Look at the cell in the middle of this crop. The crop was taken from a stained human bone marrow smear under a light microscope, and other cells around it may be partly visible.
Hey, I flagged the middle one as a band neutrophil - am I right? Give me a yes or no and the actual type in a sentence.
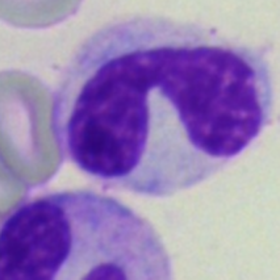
No, what is centred in the crop is not a band neutrophil but a segmented neutrophil.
